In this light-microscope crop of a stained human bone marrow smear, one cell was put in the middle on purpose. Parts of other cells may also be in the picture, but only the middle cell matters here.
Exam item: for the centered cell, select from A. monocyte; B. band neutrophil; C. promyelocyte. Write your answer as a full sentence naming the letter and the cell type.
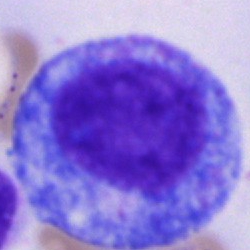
That cell in the center is a promyelocyte, hence option C.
